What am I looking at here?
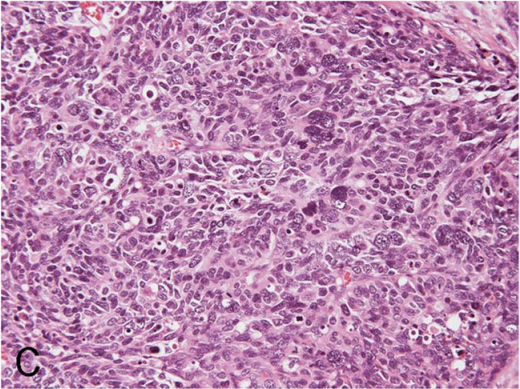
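Sheets of atypical tumor cells show marked variation in nuclear size and shape. Scattered cells have bizarre, greatly enlarged, dark nuclei, and some contain several nuclei. Many nuclei are vesicular with visible nucleoli, and the cytoplasm is pale pink-purple. Small clear spaces lie among the cells.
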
